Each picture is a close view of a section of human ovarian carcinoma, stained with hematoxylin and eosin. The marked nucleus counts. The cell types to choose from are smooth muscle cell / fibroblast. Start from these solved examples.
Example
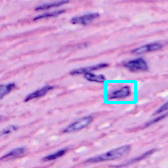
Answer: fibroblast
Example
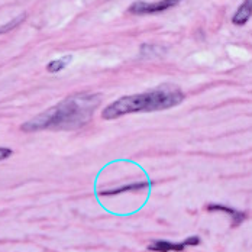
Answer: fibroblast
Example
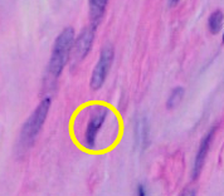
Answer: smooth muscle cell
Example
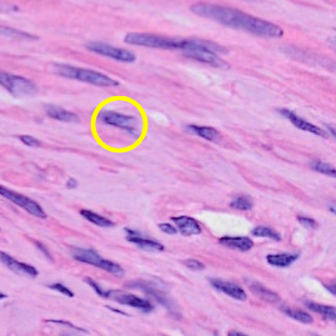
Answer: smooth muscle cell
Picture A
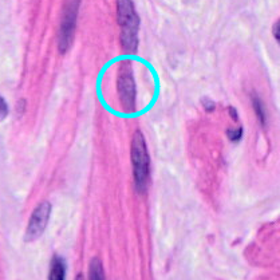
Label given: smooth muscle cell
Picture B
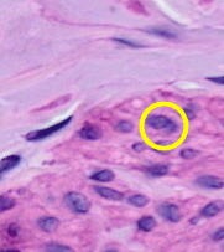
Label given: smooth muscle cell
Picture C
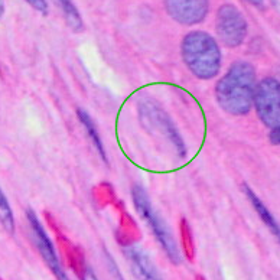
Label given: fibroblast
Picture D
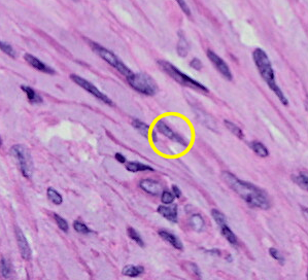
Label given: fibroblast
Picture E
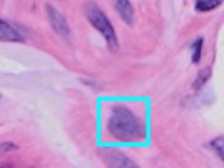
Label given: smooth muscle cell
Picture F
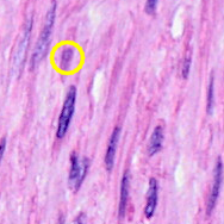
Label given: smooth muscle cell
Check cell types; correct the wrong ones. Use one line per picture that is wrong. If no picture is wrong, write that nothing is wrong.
Wrong: F (smooth muscle cell); correct: fibroblast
